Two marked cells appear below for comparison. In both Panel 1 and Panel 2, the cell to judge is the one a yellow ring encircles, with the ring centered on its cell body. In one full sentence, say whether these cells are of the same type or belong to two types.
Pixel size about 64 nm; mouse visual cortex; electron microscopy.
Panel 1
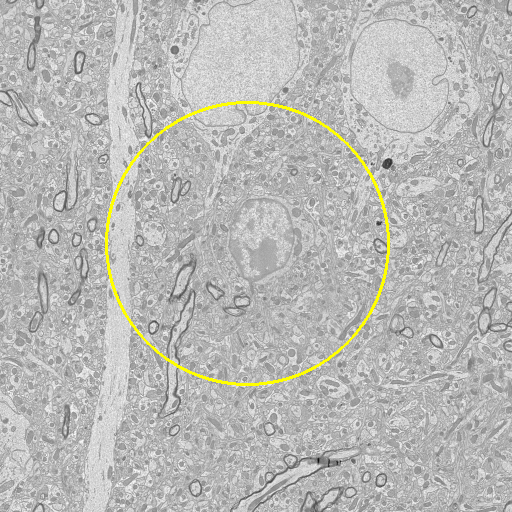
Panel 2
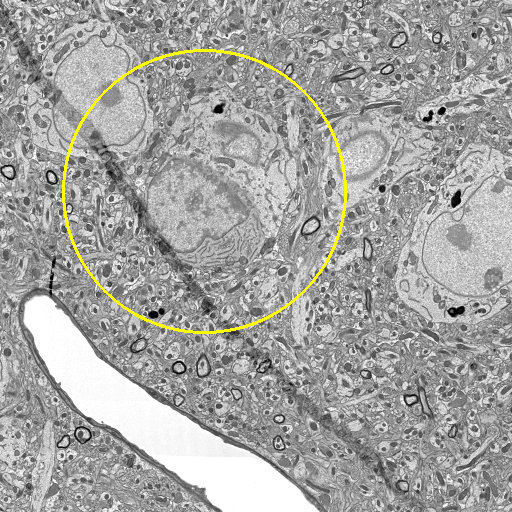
The cell centered in the Panel 1 ring and the one in Panel 2 are of the same type.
